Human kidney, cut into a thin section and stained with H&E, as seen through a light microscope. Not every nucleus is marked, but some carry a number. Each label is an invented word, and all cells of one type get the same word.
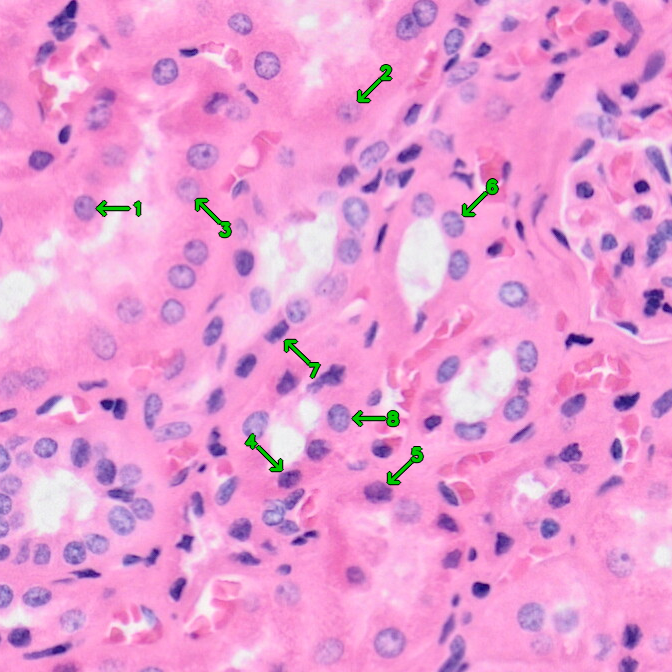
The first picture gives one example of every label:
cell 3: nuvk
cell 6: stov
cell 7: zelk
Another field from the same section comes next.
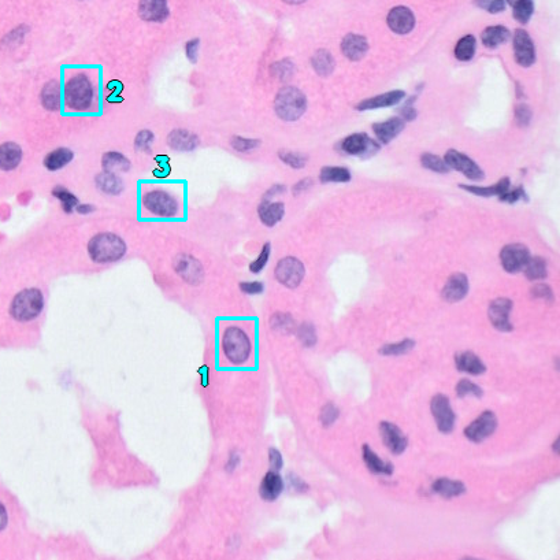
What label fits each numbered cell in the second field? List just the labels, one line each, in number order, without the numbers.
nuvk
nuvk
zelk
